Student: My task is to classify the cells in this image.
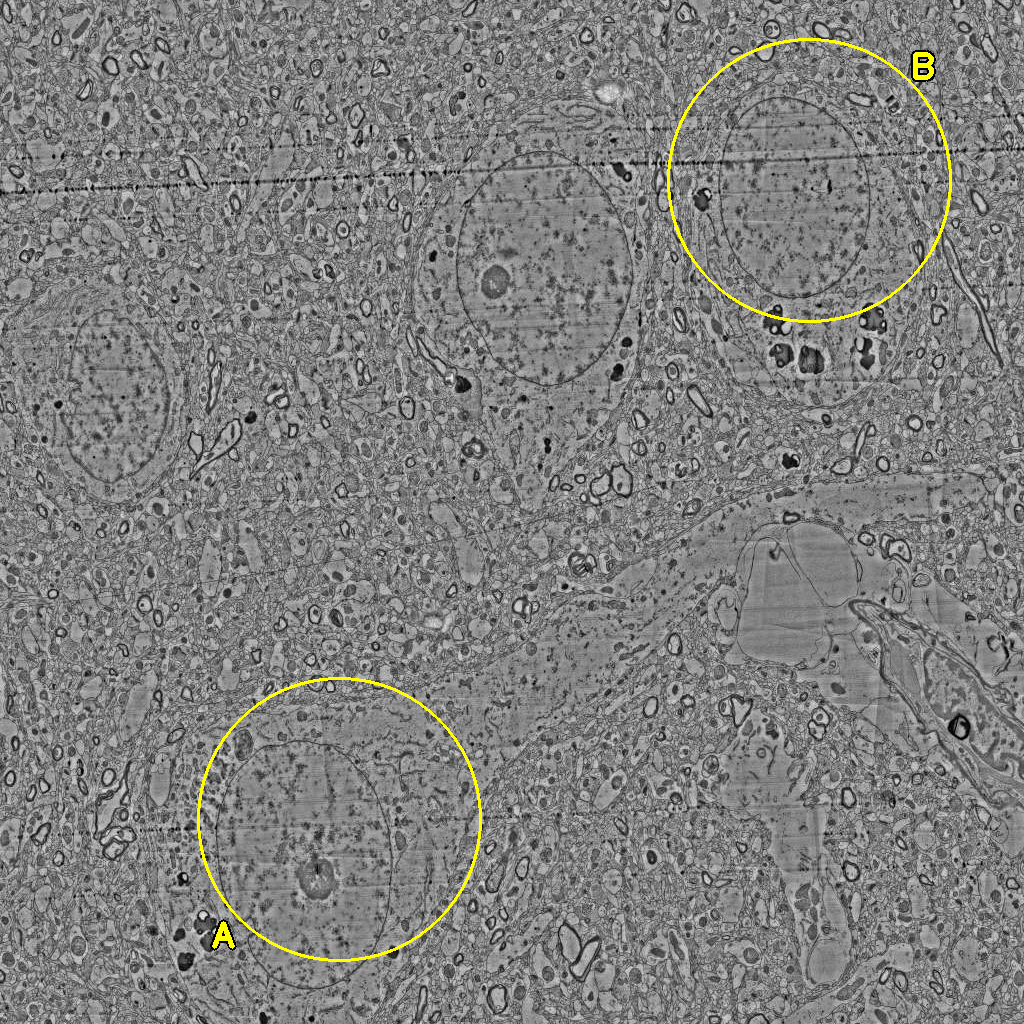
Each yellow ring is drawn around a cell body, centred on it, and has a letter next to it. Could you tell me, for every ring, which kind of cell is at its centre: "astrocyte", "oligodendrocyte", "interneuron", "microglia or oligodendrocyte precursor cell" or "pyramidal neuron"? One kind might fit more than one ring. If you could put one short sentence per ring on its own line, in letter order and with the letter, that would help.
Ring A's central cell is a pyramidal neuron.
Ring B's central cell is a pyramidal neuron.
